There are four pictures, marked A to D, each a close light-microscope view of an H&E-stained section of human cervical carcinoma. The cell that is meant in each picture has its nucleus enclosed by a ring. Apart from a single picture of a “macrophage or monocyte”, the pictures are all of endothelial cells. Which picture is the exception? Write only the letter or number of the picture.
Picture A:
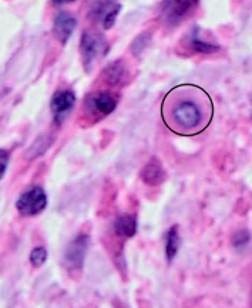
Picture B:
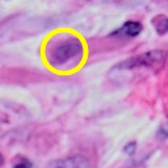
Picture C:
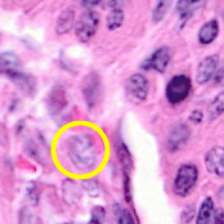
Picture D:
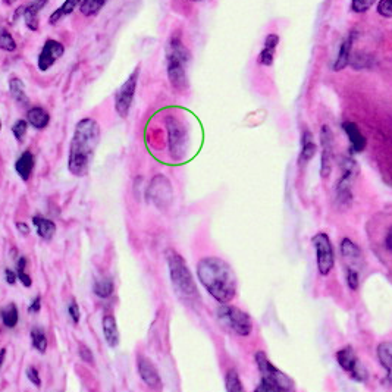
B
